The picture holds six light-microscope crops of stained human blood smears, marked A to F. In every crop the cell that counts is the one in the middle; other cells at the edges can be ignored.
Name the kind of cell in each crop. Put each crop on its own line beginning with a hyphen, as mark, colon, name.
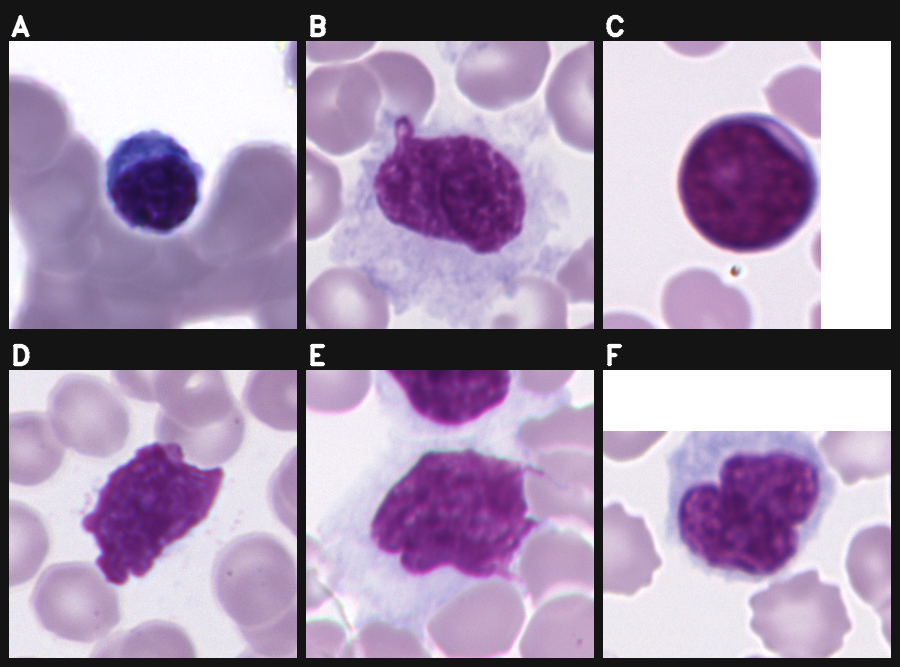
- A: plasma cell
- B: hairy cell
- C: myeloblast
- D: smudge cell
- E: hairy cell
- F: hairy cell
